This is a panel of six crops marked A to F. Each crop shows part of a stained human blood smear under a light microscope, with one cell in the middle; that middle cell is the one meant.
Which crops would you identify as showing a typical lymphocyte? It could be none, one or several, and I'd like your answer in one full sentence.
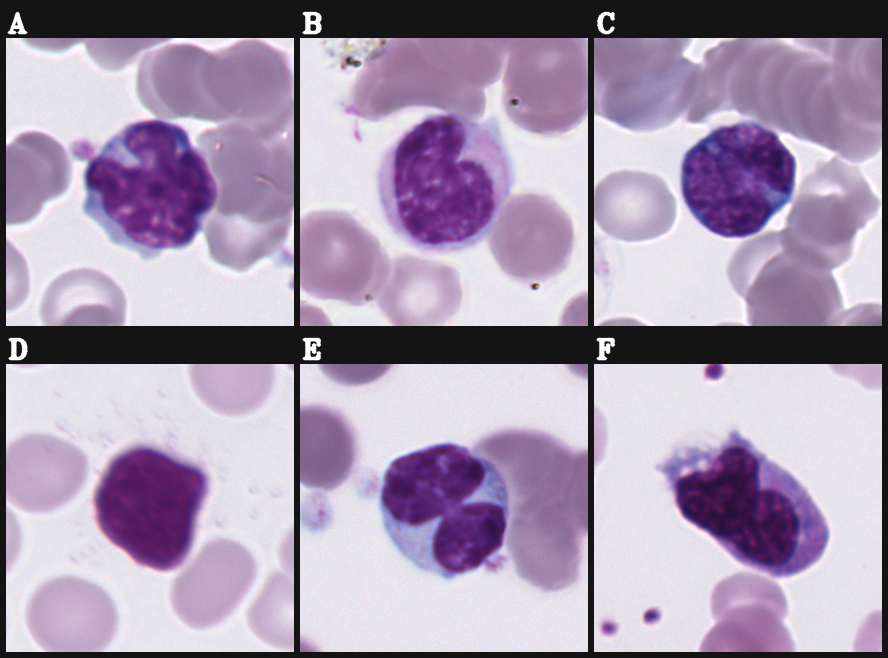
Of the crops in this set, A, C and E show typical lymphocytes.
